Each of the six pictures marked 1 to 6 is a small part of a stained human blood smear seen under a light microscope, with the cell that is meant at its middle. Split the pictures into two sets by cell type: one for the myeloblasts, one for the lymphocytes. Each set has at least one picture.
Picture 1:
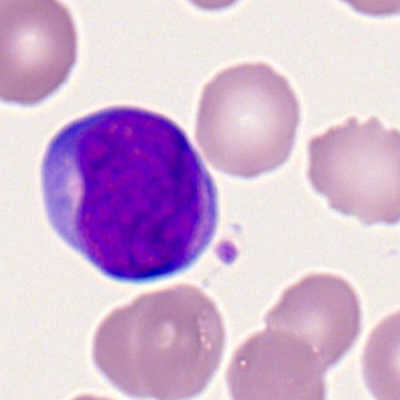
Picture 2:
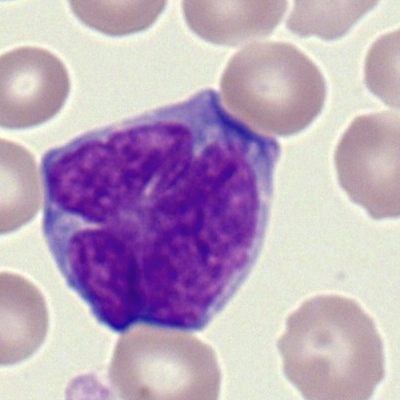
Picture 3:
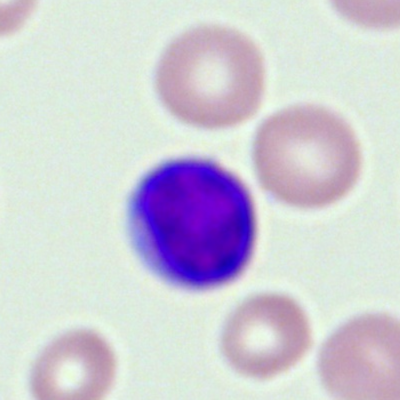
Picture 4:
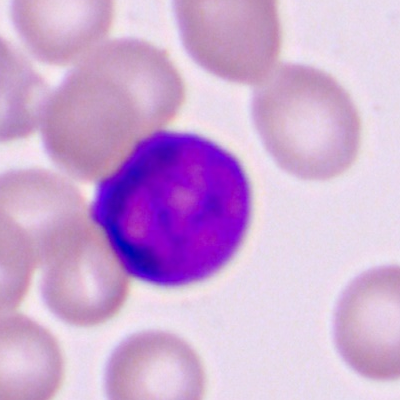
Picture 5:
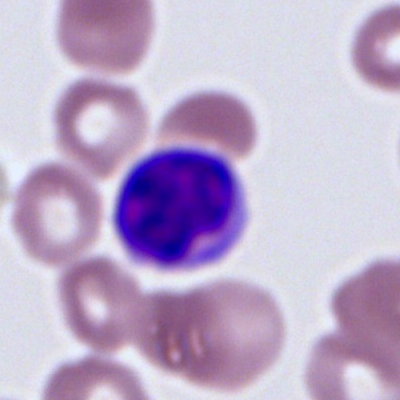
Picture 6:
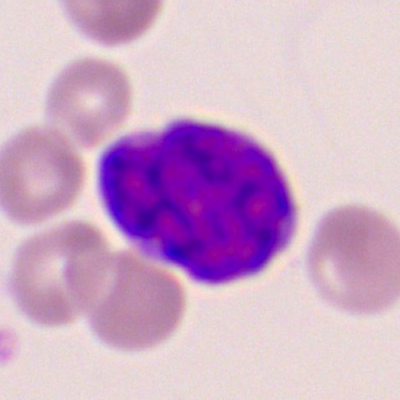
1: myeloblast
2: myeloblast
3: lymphocyte
4: myeloblast
5: lymphocyte
6: myeloblast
